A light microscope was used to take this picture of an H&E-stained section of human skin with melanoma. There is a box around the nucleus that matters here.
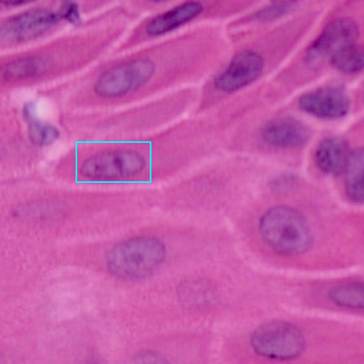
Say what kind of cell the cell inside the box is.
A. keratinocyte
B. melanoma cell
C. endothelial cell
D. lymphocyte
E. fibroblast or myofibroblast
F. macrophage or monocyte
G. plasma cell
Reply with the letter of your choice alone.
A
